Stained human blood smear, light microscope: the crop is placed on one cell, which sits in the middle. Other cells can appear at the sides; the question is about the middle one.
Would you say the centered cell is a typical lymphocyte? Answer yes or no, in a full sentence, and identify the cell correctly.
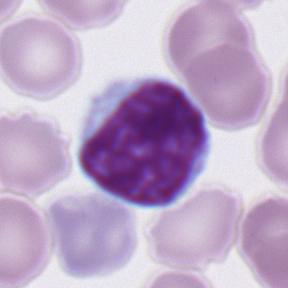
Yes, the cell located at the center is a typical lymphocyte.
